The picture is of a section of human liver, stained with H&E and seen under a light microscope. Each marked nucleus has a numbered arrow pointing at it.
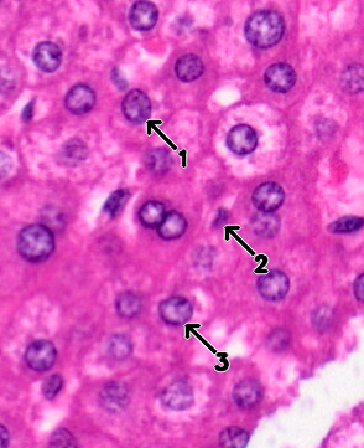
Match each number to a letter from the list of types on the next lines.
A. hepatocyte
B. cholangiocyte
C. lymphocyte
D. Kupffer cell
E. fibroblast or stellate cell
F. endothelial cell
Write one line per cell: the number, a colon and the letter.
1: A
2: F
3: A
